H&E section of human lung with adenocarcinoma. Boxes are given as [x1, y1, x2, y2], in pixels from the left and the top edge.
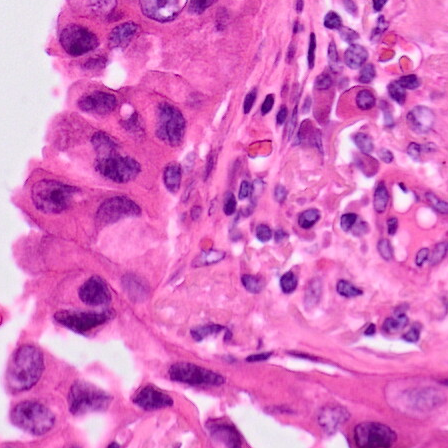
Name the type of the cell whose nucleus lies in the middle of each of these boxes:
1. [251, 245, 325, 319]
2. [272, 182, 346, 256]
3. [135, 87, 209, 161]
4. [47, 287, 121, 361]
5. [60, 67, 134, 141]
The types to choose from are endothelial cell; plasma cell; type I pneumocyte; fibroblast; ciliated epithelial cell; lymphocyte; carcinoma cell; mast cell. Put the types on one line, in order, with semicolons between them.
lymphocyte; plasma cell; carcinoma cell; carcinoma cell; carcinoma cell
